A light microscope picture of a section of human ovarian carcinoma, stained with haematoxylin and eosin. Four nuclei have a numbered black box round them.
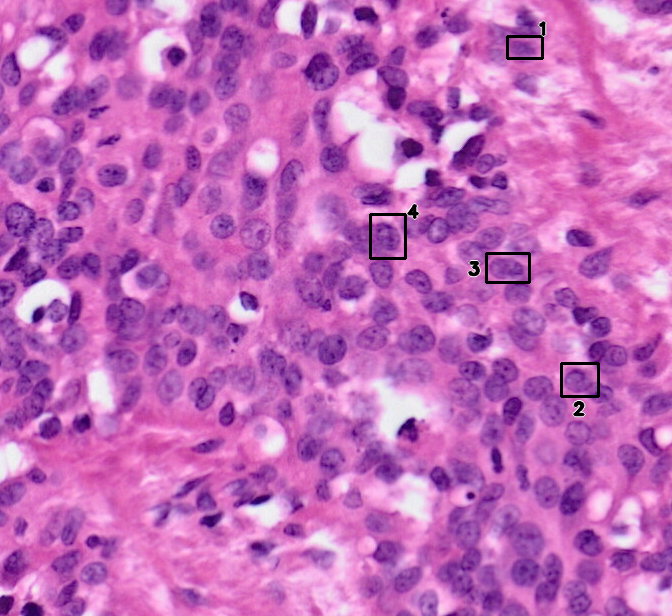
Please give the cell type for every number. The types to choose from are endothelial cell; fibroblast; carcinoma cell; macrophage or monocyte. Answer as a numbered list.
1. endothelial cell
2. carcinoma cell
3. carcinoma cell
4. carcinoma cell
